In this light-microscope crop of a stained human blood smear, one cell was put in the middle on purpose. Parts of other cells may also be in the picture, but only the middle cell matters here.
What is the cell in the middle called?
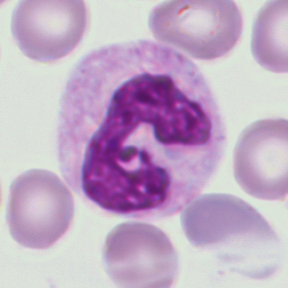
band neutrophil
